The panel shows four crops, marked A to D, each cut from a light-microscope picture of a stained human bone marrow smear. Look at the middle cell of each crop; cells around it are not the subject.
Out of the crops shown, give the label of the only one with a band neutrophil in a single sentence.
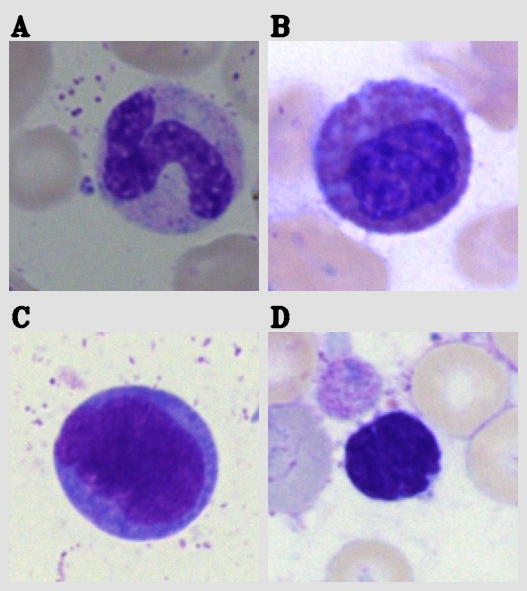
It is in crop A, among all the crops, that a band neutrophil is present.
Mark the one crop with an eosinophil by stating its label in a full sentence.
Crop B is the correct crop, and it shows an eosinophil.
